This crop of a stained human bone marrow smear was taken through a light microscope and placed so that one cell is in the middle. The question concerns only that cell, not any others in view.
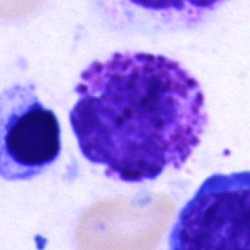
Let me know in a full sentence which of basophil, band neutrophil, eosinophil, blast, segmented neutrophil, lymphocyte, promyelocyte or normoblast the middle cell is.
Whatever else lies nearby, the middle cell is a basophil.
